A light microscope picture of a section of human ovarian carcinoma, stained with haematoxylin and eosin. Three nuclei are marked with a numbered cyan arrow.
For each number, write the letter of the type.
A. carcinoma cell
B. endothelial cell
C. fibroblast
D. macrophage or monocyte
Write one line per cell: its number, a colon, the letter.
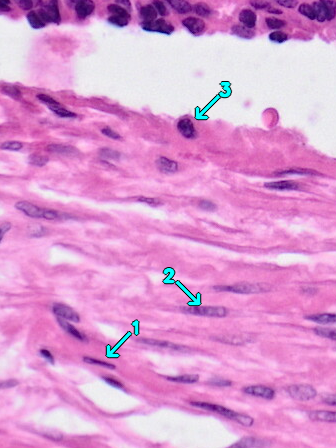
1: C
2: C
3: D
